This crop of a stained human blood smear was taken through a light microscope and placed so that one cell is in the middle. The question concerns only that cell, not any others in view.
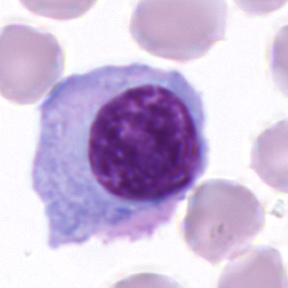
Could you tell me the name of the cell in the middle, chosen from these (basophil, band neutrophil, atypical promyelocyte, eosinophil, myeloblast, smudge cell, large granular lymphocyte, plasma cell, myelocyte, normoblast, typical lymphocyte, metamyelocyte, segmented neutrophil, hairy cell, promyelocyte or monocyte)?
plasma cell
